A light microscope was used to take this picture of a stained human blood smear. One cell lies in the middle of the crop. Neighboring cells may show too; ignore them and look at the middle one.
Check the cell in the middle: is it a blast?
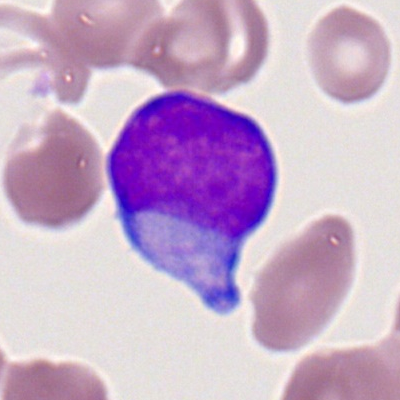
yes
